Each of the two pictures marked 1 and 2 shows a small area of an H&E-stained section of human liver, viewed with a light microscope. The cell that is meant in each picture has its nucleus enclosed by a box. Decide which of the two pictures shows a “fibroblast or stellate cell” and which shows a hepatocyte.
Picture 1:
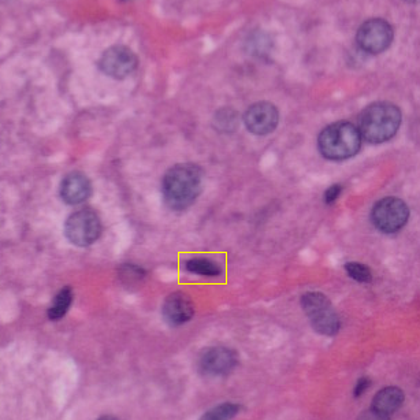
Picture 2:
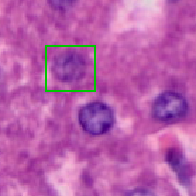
1: fibroblast or stellate cell
2: hepatocyte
